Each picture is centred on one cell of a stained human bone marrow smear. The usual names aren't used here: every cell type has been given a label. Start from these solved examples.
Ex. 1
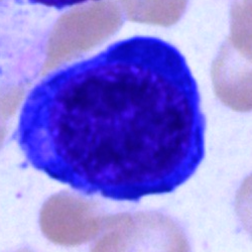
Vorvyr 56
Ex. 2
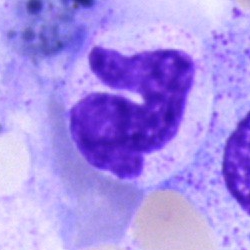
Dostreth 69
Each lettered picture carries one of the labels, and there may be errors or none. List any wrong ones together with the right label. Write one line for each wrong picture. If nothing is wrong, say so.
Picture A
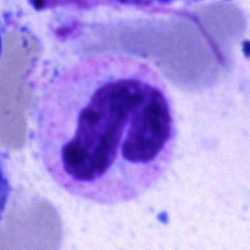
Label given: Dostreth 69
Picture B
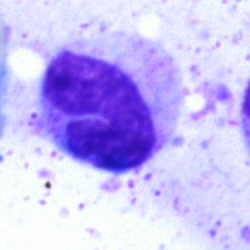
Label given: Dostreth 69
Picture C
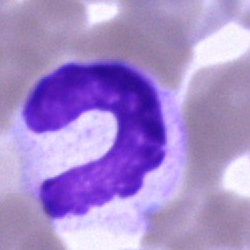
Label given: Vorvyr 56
Wrong: C (Vorvyr 56); correct: Dostreth 69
